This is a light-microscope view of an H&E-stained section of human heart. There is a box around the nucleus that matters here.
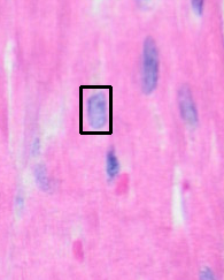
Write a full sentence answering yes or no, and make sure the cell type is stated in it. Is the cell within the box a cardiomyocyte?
Yes, classifying the cell within the box as a cardiomyocyte is accurate.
